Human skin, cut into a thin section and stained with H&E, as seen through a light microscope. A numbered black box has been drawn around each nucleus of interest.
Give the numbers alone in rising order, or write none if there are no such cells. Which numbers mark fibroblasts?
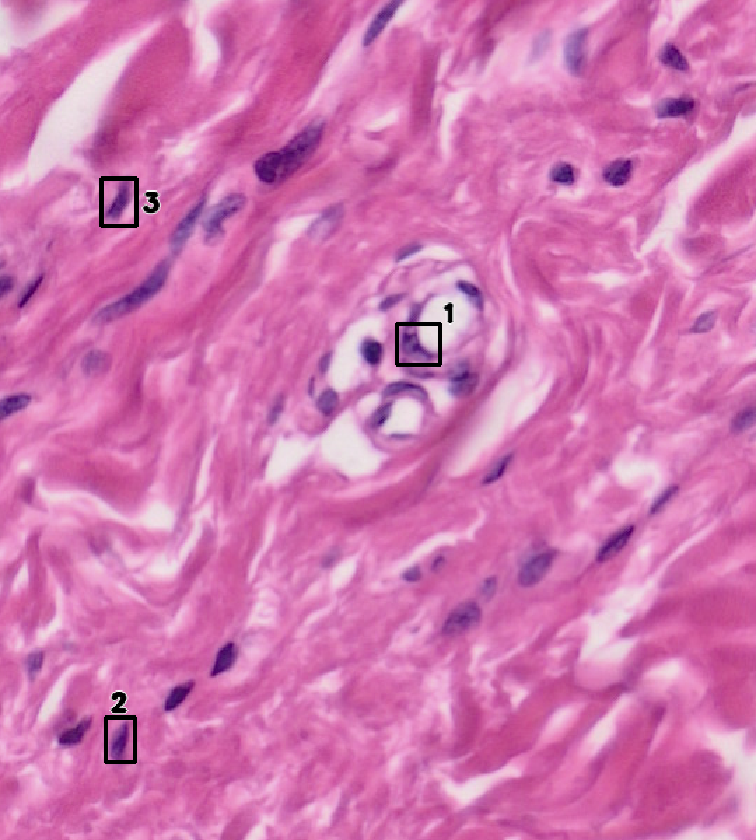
2, 3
